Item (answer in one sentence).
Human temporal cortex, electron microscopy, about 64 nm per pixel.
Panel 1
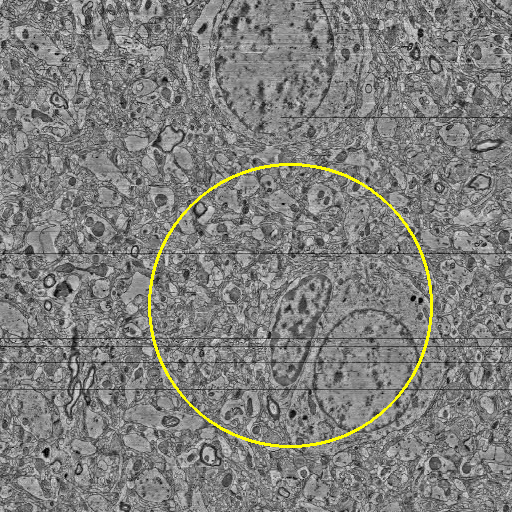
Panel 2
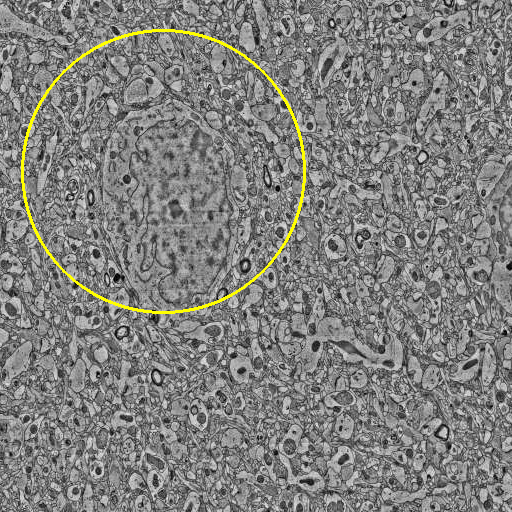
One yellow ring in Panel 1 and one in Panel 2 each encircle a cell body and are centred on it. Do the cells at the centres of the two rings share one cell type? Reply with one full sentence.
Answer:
No, Panel 1 and Panel 2 show cells of two types at the centres of their rings.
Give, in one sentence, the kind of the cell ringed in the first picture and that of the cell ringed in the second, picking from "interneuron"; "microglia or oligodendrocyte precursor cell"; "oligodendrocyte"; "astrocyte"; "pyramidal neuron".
For the first picture it is a microglial cell or oligodendrocyte precursor cell; for the second, an interneuron.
